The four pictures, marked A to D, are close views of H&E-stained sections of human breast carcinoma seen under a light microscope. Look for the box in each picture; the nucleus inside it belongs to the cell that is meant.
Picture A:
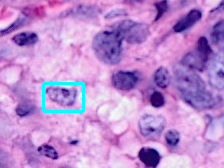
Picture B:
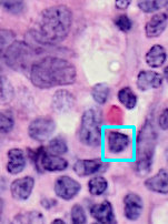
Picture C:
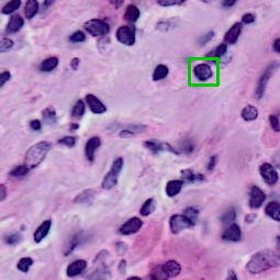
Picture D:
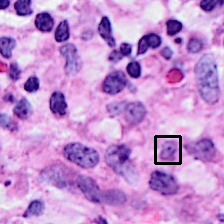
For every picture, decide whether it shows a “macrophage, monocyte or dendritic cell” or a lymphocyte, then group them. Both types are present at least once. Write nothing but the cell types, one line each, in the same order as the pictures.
macrophage, monocyte or dendritic cell
lymphocyte
lymphocyte
macrophage, monocyte or dendritic cell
